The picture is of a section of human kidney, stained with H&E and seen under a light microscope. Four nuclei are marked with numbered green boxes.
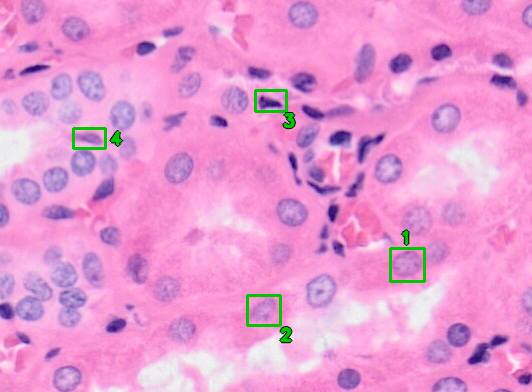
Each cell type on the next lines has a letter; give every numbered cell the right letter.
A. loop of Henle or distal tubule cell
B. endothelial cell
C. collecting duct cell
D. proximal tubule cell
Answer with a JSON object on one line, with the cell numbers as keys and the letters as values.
{"1": "D", "2": "D", "3": "A", "4": "C"}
